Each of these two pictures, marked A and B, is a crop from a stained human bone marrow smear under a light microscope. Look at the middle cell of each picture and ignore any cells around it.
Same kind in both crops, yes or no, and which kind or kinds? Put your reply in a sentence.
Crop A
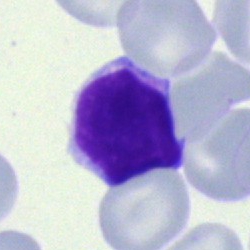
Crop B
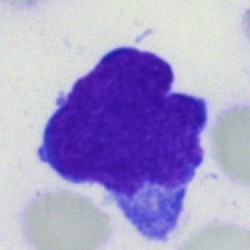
No, in crop B the central cell is a blast, and in crop A it is a lymphocyte.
